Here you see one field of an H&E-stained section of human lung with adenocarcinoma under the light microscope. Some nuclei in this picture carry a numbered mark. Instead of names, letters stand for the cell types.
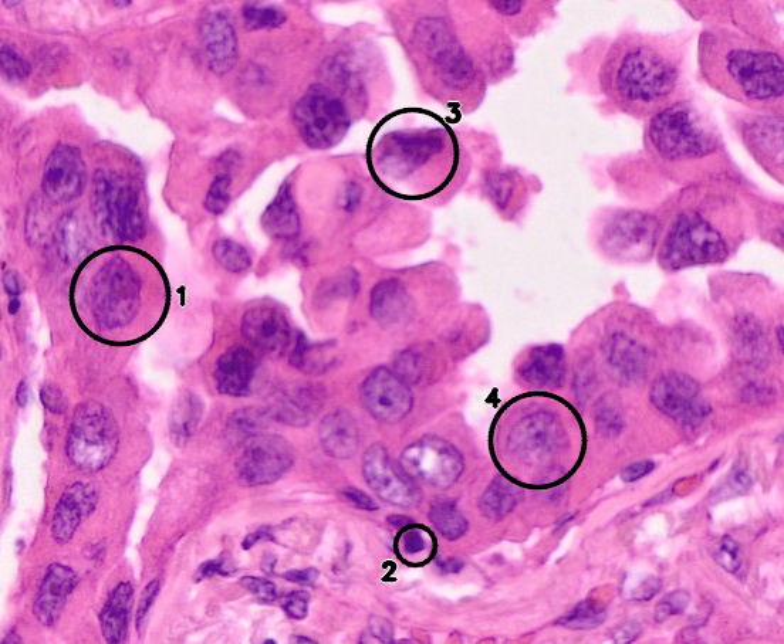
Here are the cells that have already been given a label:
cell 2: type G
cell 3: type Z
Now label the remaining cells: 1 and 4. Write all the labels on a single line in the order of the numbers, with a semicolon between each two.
type Z; type Z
